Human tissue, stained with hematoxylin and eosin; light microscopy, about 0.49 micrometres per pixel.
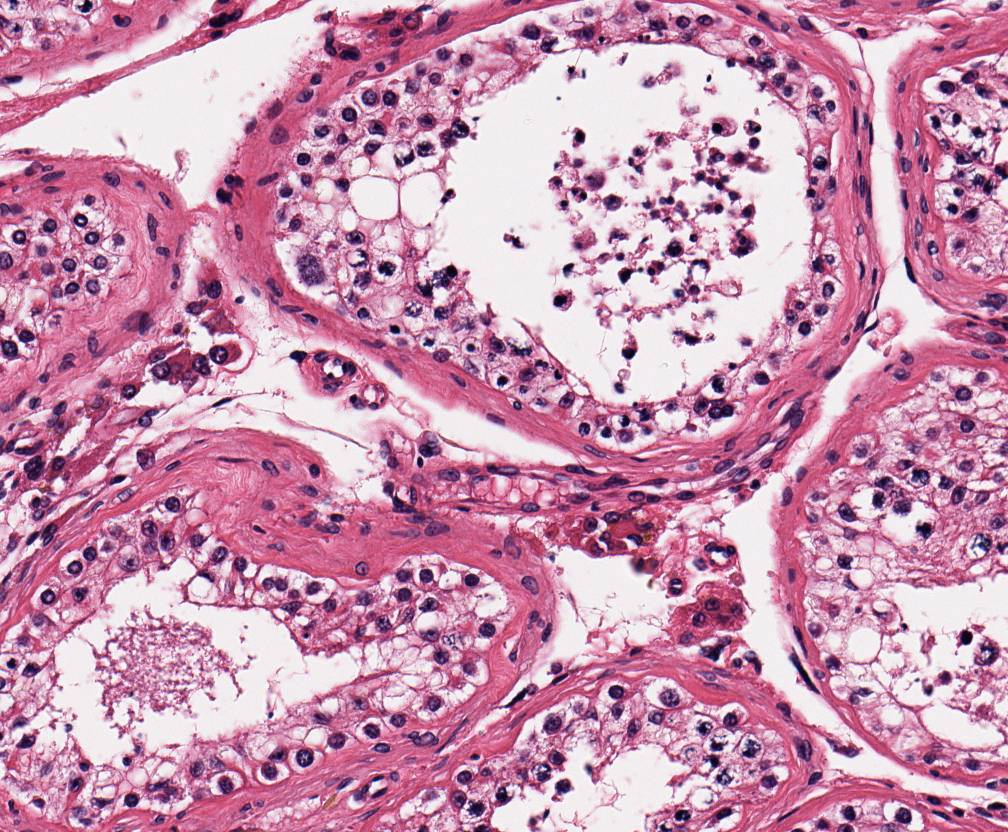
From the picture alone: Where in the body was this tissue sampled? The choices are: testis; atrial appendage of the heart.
testis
